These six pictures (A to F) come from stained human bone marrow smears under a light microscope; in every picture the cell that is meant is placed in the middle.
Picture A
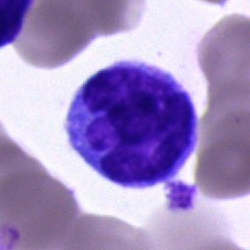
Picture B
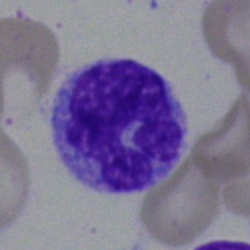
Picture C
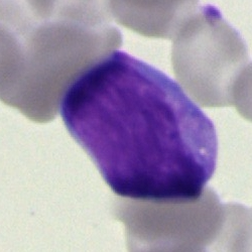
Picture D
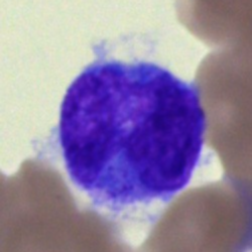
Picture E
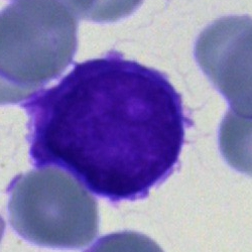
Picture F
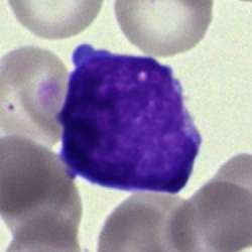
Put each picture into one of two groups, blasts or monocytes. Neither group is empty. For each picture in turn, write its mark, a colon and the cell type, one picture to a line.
A: monocyte
B: monocyte
C: blast
D: monocyte
E: blast
F: blast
